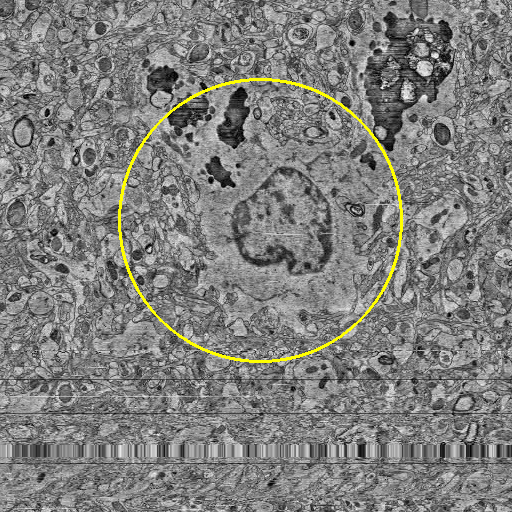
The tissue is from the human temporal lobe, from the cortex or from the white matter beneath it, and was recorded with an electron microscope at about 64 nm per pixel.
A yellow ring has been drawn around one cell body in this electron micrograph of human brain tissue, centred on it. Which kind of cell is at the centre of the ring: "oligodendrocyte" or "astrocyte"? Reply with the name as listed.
astrocyte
